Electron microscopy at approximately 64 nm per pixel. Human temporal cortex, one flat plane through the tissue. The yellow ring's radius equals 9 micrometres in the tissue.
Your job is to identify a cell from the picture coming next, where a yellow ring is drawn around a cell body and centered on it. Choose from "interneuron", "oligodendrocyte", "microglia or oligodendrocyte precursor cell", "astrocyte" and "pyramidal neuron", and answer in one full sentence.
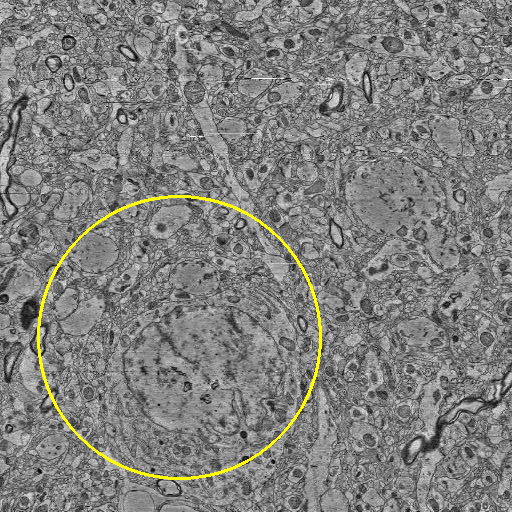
Centered in the yellow ring of the picture is the body of an interneuron.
